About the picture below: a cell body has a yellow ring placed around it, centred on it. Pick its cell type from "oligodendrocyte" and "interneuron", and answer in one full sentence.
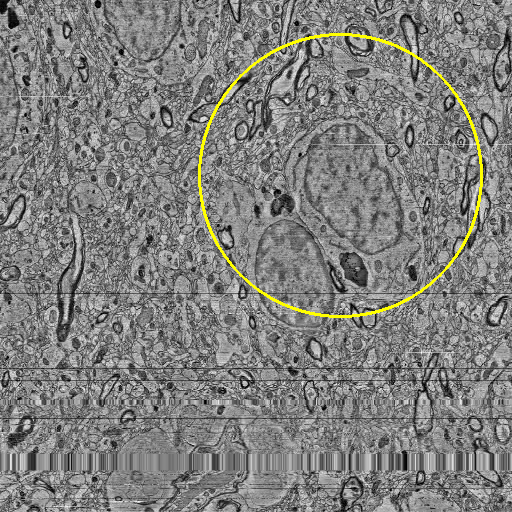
In the picture, an interneuron is the cell sitting at the centre of the yellow ring.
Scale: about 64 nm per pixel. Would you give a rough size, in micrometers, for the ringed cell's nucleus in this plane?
In this plane, approximately 9 by 5 micrometers.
